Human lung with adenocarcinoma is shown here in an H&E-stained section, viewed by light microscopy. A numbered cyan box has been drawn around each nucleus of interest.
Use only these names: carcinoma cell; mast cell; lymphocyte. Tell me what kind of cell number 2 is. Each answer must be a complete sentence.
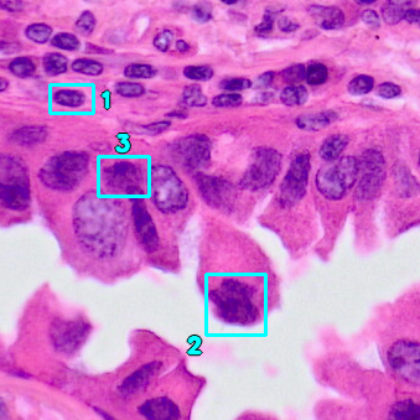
Cell 2 of the marked set is a carcinoma cell.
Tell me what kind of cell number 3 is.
In this section, the cell numbered 3 is a carcinoma cell.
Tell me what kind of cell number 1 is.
In this section, number 1 marks a lymphocyte.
